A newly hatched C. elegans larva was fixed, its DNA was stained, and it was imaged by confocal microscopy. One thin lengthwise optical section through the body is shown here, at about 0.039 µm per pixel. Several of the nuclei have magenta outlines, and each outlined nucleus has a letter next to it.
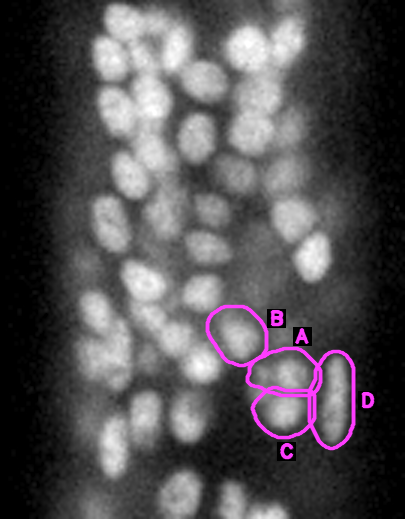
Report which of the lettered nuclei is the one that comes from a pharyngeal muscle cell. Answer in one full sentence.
The one from a pharyngeal muscle cell is B.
